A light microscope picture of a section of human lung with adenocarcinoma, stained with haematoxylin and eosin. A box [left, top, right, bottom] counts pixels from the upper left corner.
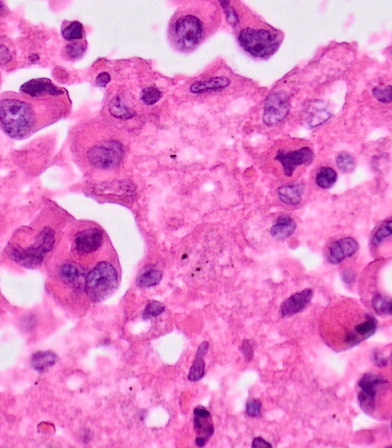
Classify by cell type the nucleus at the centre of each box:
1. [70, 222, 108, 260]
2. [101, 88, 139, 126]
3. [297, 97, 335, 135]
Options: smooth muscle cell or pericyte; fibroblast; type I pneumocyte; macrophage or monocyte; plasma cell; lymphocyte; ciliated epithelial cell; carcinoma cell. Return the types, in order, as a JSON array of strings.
["carcinoma cell", "macrophage or monocyte", "macrophage or monocyte"]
